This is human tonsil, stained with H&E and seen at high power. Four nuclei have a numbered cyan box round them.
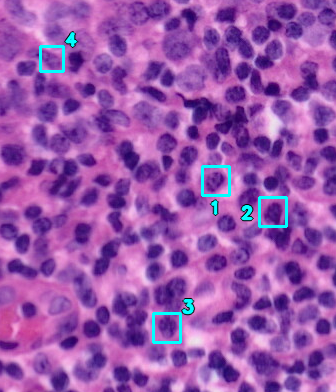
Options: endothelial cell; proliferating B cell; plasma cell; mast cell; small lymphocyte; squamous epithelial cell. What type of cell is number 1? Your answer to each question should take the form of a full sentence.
The cell pointed out as number 1 is a plasma cell.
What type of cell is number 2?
As for number 2, that cell is a plasma cell.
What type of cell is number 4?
As for number 4, that cell is a squamous epithelial cell.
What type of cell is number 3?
The cell that carries the label 3 is a plasma cell.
